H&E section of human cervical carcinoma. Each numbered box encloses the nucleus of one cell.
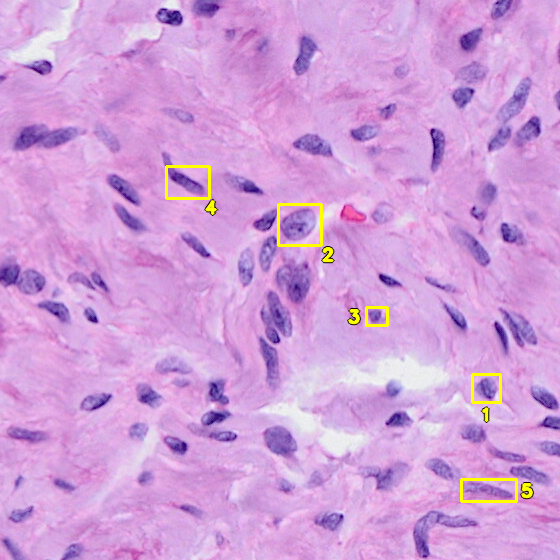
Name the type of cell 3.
smooth muscle cell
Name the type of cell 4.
fibroblast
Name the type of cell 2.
endothelial cell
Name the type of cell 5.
smooth muscle cell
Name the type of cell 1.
fibroblast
